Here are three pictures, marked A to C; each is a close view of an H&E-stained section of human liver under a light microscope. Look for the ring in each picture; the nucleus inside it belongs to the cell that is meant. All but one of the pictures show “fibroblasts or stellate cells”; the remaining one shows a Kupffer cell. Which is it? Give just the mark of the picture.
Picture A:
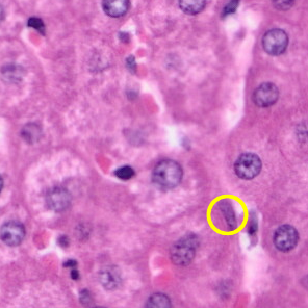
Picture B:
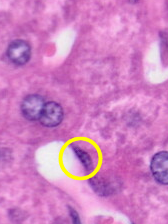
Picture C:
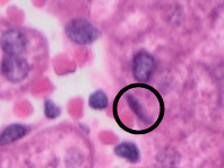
A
